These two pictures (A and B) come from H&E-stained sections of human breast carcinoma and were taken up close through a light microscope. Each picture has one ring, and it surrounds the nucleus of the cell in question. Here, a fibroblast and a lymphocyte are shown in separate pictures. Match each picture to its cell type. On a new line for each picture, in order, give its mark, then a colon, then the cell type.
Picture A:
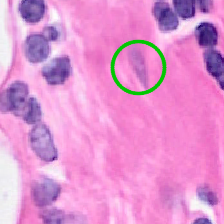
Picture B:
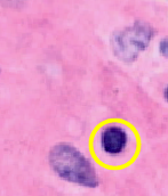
A: fibroblast
B: lymphocyte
